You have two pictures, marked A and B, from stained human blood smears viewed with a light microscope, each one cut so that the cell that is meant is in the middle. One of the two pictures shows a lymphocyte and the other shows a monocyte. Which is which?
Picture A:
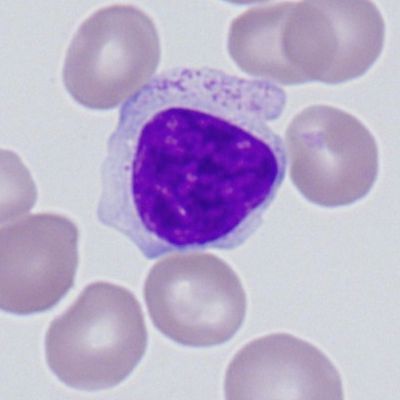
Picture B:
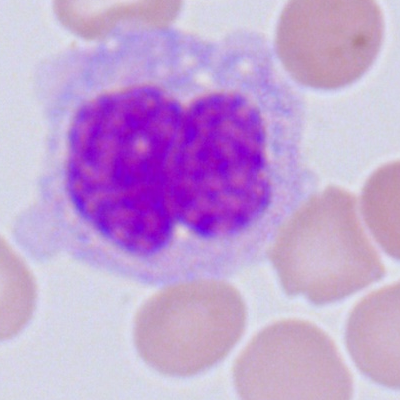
A: lymphocyte
B: monocyte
